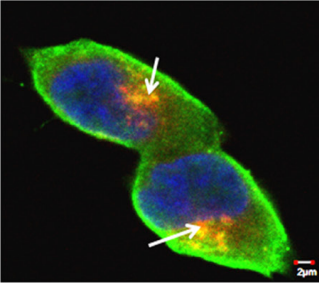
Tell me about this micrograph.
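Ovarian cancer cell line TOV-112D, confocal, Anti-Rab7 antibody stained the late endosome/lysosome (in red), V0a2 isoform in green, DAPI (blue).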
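Two spindle-shaped cultured cells lie end to end, each with a large oval blue nucleus. Green fluorescence outlines the cell border brightly and fills the cytoplasm faintly. Beside each nucleus, on one side, a cluster of small red and yellow-orange puncta gathers, marked by white arrows, where red and green overlap.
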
